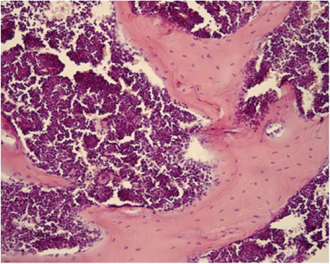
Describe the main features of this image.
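Trabecular bone with marrow. Broad pink trabeculae containing small lacunae with flattened nuclei branch across the field. The spaces between them are packed with densely purple-staining marrow cells.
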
